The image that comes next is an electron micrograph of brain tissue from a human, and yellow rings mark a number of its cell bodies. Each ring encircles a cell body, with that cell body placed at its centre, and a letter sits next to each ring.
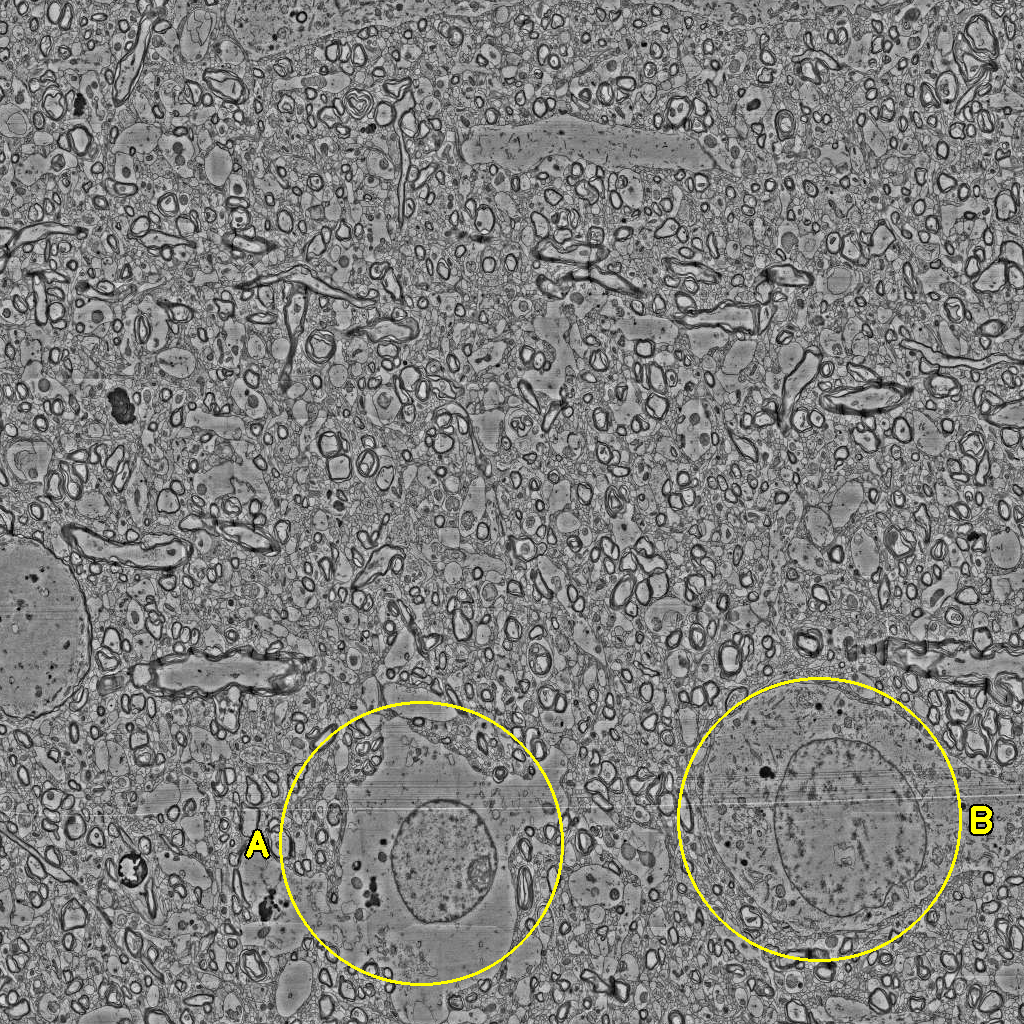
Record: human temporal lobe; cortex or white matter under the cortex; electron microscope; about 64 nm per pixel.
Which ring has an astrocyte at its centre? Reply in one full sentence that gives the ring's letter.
In the image, ring A has the cell the question asks for at its centre.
